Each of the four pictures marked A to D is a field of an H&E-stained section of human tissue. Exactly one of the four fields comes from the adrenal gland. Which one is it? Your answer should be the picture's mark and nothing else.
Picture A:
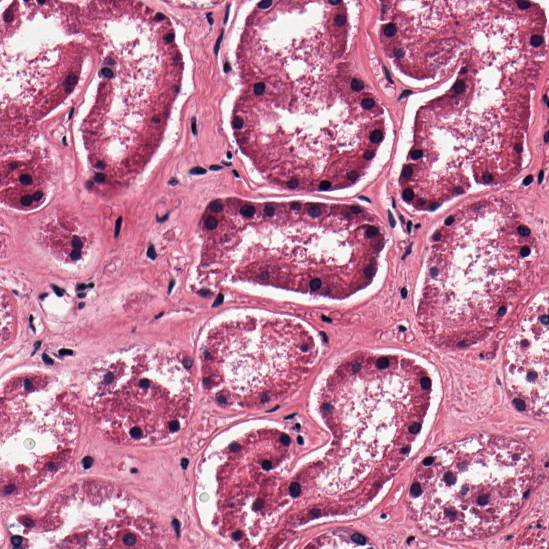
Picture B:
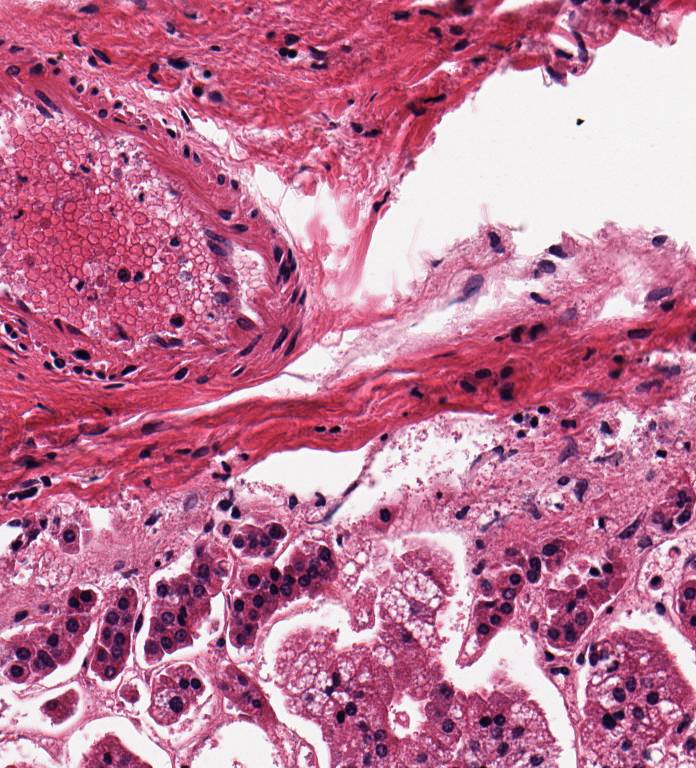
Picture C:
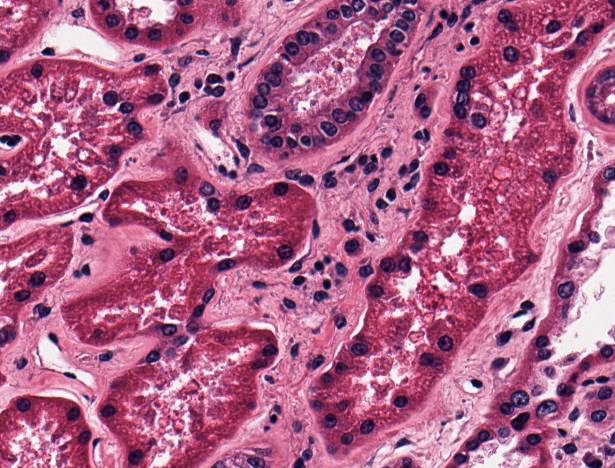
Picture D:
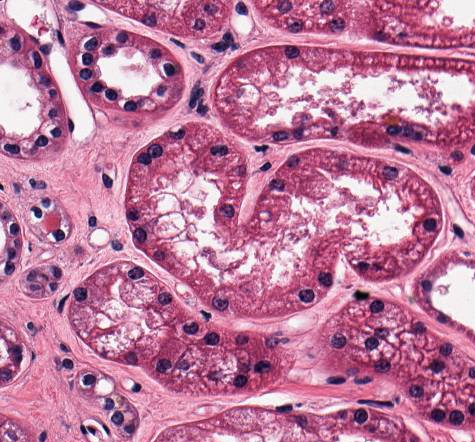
B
